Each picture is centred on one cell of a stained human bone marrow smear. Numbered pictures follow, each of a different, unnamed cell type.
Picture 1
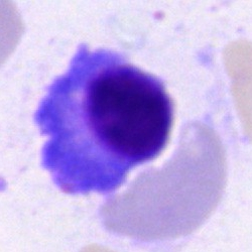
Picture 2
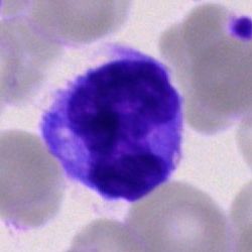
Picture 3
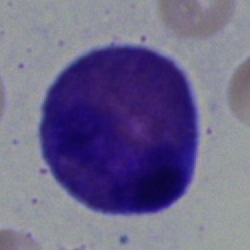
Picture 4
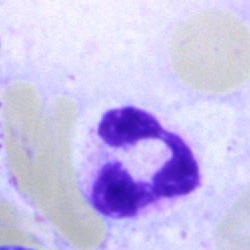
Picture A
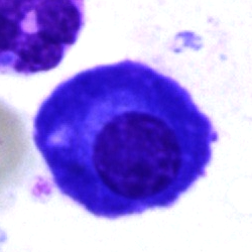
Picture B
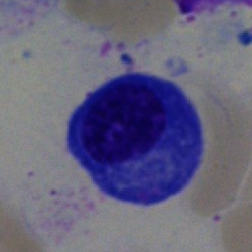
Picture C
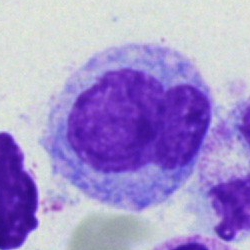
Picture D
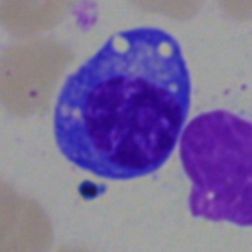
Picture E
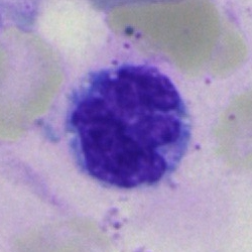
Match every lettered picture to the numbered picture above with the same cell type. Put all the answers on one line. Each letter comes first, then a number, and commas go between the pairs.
A 1, B 1, C 2, D 1, E 2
